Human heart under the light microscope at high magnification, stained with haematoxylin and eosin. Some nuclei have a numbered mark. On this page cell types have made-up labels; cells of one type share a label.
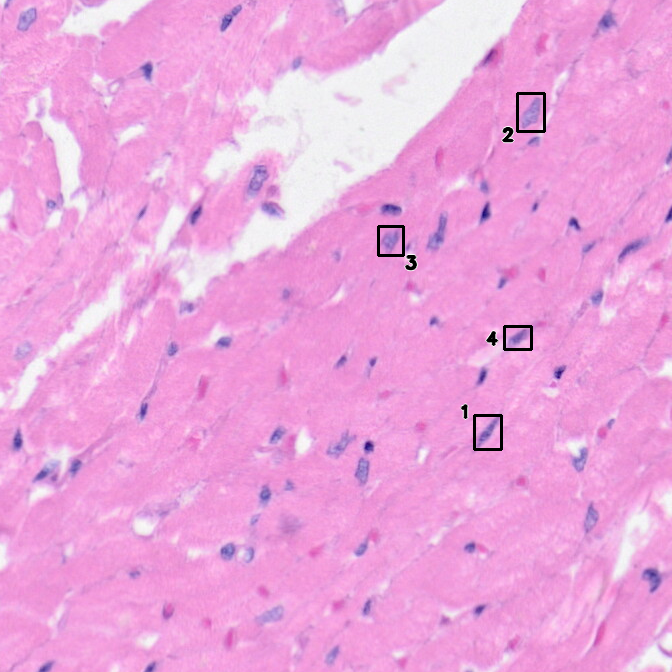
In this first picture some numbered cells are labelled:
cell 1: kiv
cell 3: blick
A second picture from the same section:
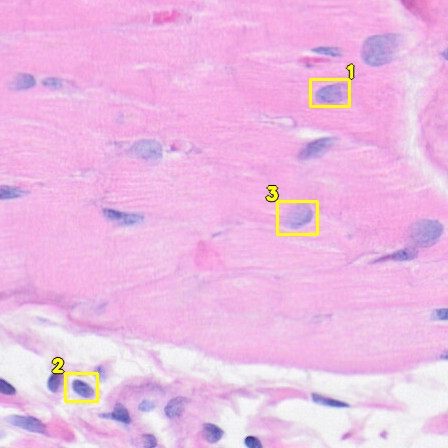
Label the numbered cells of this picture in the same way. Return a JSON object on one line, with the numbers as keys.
{"1": "blick", "2": "kiv", "3": "blick"}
